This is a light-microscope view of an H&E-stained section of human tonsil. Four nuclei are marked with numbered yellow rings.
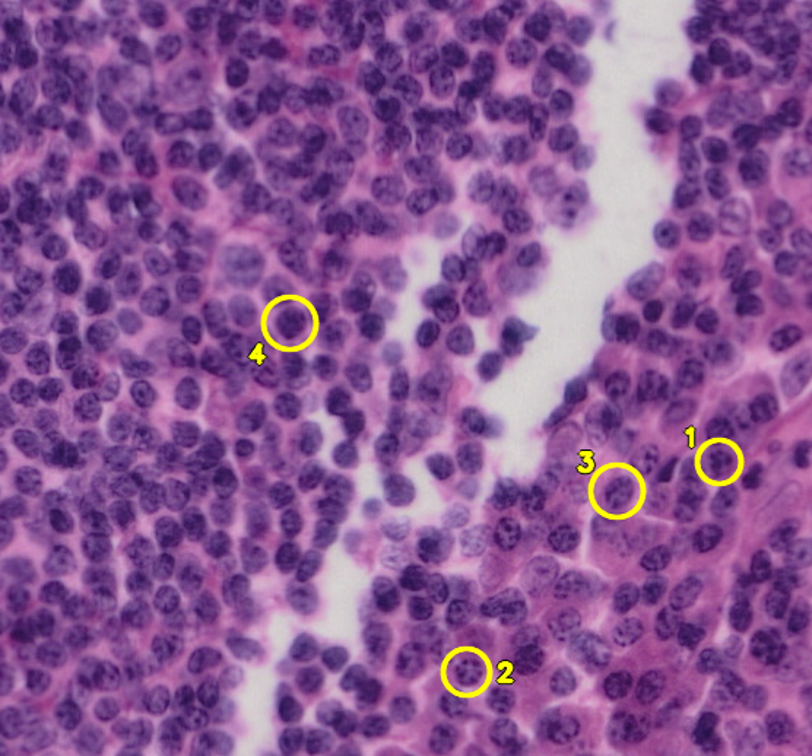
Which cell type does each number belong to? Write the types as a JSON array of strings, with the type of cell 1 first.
["plasma cell", "plasma cell", "plasma cell", "small lymphocyte"]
